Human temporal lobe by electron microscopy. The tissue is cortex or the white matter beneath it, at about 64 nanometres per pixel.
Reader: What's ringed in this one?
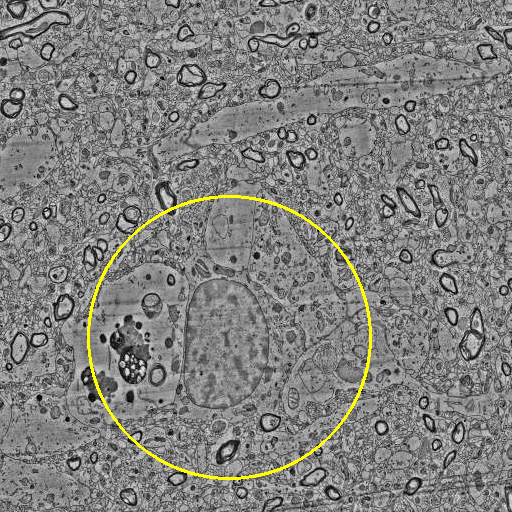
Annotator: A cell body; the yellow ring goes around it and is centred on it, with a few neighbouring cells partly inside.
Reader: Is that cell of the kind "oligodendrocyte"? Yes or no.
yes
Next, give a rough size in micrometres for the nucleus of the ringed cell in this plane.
In this plane the nucleus measures about 8 by 6 micrometres and is clearly longer than it is wide.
